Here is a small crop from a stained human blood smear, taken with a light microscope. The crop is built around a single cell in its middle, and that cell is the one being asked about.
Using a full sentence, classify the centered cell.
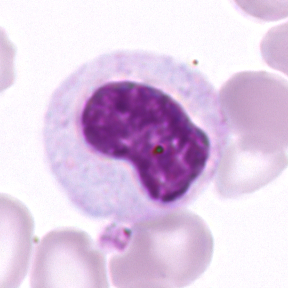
The centrally located cell in the crop is a metamyelocyte.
